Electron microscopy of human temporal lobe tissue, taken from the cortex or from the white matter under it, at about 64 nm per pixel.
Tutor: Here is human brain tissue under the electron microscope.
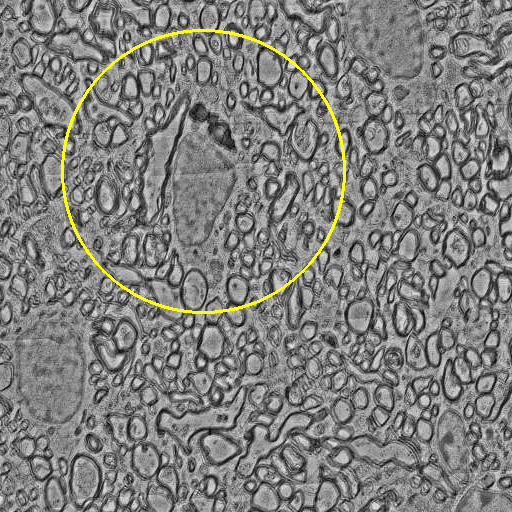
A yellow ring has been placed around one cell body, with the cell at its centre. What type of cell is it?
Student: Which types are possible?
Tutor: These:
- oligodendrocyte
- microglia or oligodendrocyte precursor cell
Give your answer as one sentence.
What the ring picks out here is an oligodendrocyte.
